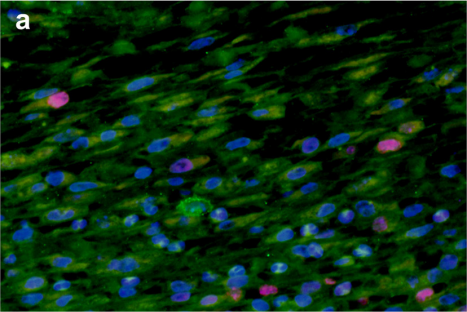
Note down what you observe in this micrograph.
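The field is filled with elongated spindle cells whose oval to rod-shaped blue nuclei lie in loose parallel rows running roughly horizontally. A pale green tint fills the cytoplasm and the spaces between nuclei, outlining the thin, stretched cell bodies. Only a few nuclei here are pink to red, scattered singly among the many blue ones.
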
